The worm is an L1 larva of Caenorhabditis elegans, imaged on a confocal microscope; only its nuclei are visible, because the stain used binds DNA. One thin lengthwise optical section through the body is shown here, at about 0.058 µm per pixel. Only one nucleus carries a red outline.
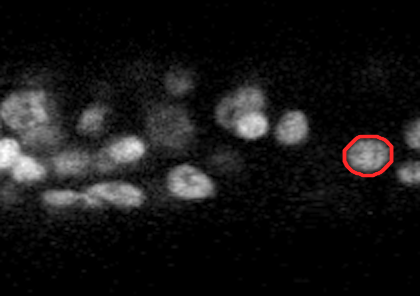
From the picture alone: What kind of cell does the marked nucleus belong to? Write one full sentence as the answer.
This nucleus is from a P cell (ventral epidermal blast cell).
